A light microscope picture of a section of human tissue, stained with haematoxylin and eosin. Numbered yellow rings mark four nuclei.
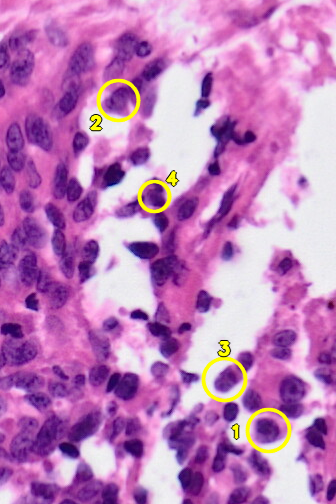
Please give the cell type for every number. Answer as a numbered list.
1. carcinoma cell
2. carcinoma cell
3. carcinoma cell
4. macrophage or monocyte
